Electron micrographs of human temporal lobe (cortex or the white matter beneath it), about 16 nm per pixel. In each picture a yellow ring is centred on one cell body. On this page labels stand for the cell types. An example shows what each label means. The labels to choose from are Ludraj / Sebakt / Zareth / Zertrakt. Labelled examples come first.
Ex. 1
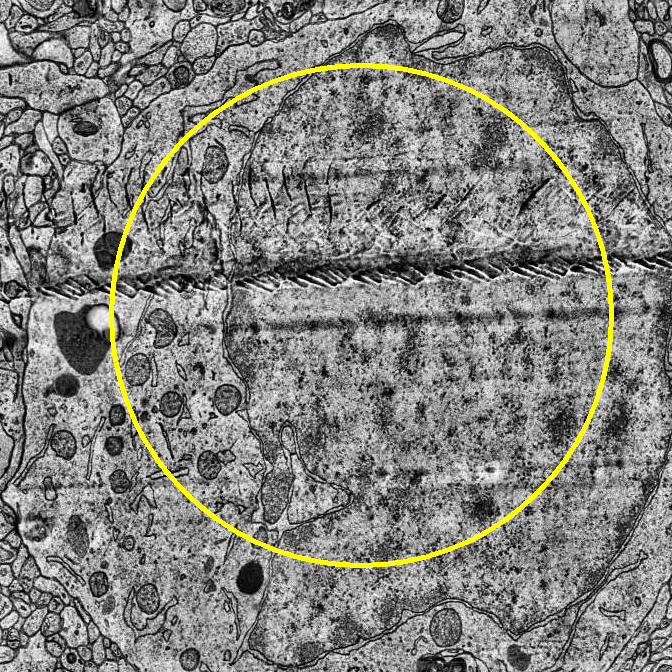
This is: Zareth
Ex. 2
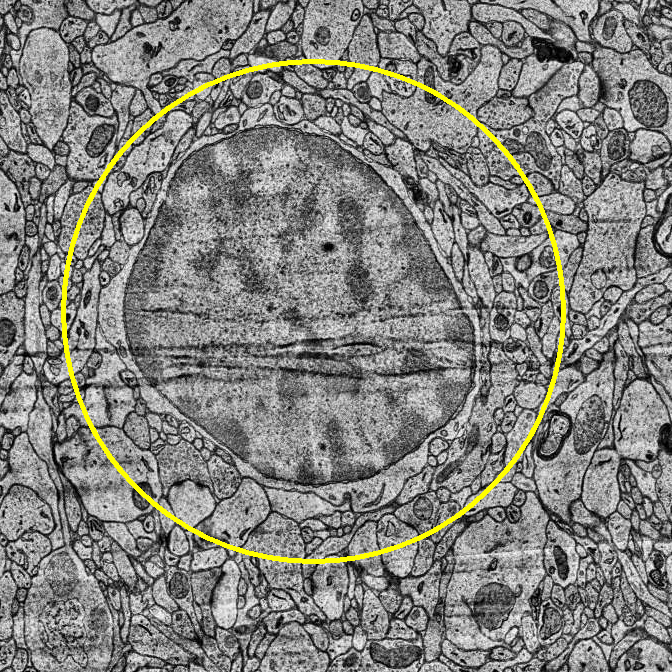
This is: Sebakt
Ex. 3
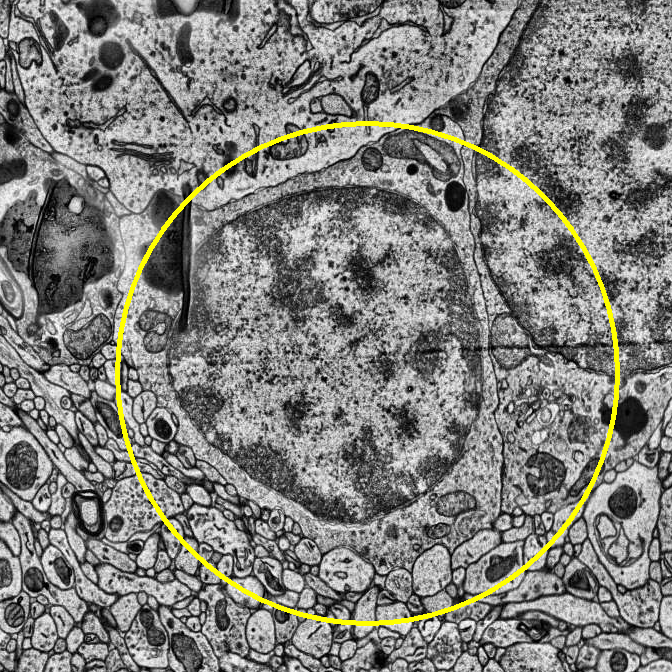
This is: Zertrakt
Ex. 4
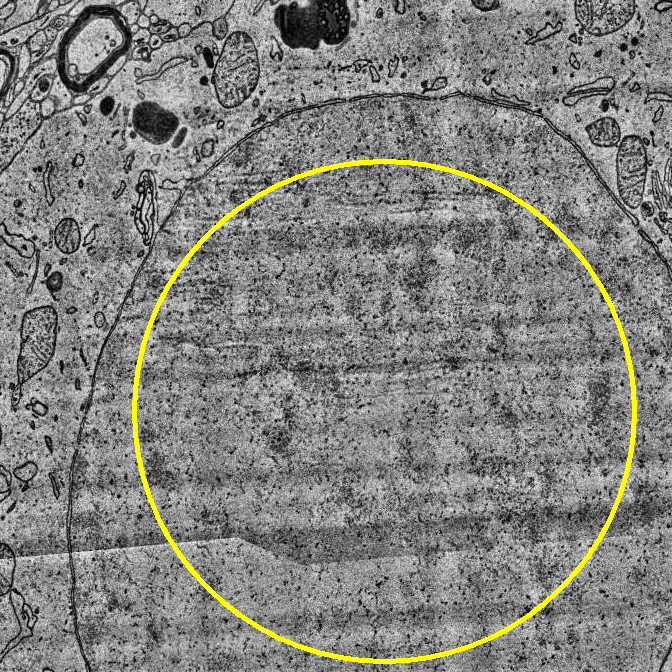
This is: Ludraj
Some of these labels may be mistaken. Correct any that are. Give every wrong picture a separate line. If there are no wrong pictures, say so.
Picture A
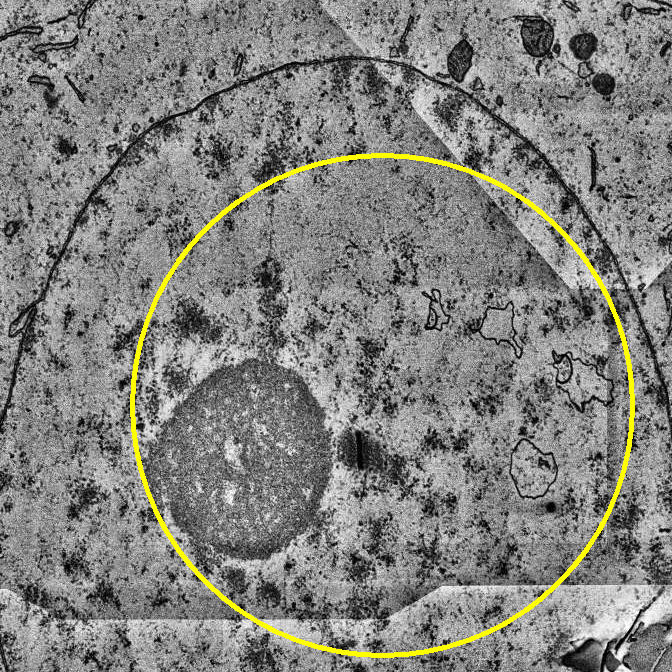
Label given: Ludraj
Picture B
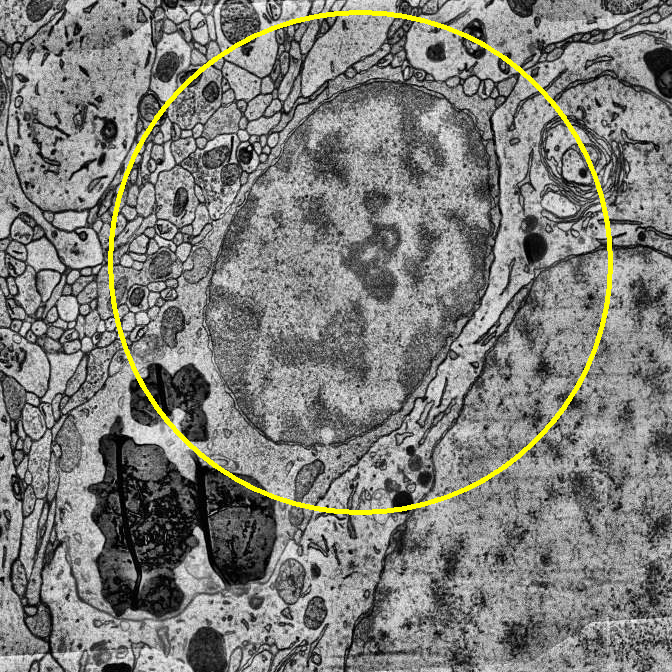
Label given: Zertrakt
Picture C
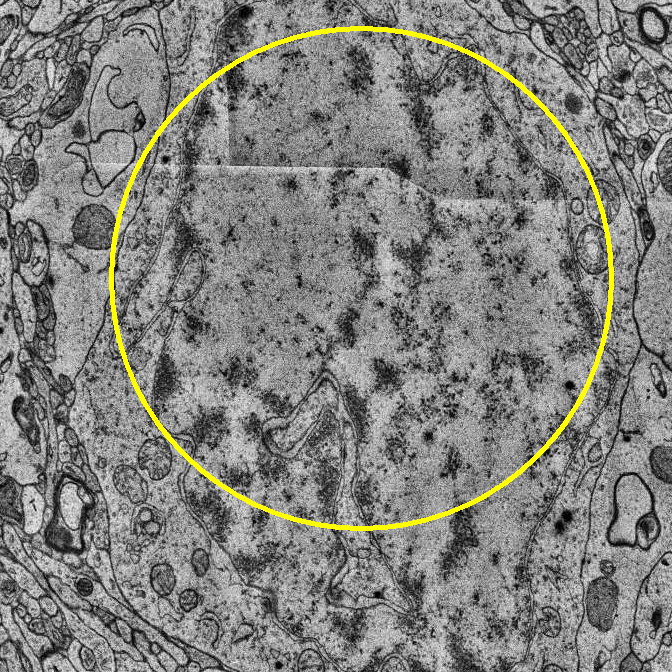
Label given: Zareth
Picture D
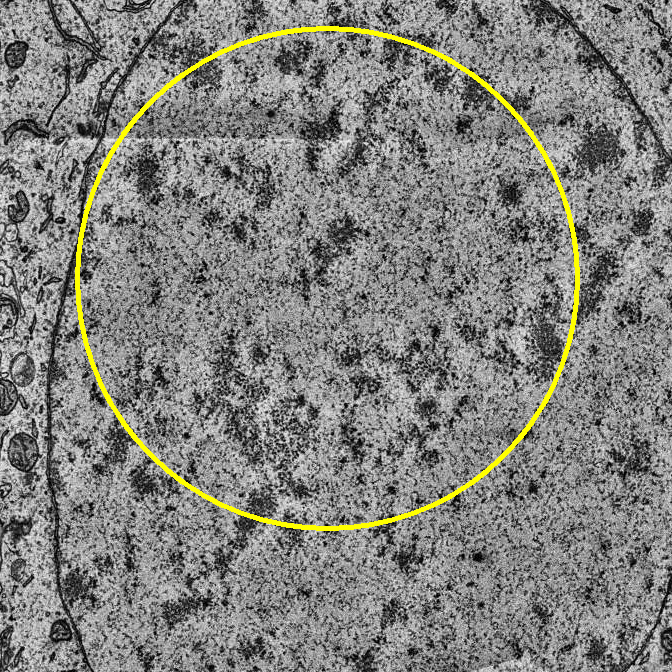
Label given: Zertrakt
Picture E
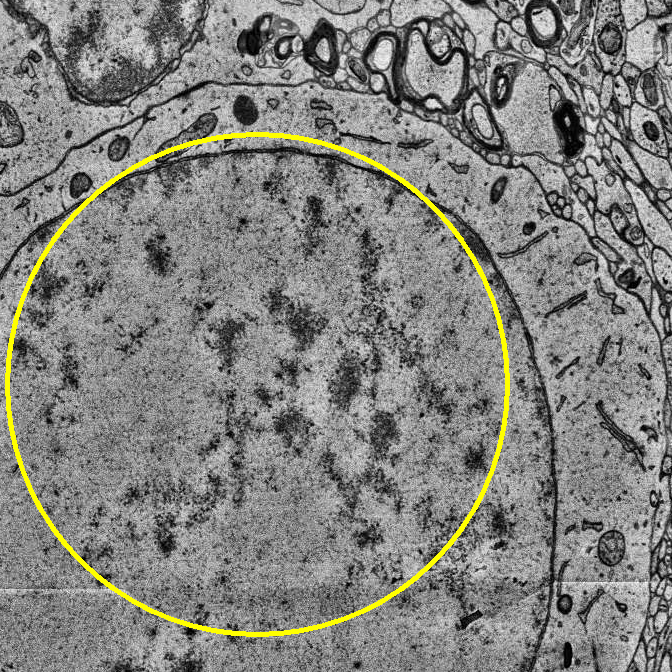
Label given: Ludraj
D: change Zertrakt to Ludraj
